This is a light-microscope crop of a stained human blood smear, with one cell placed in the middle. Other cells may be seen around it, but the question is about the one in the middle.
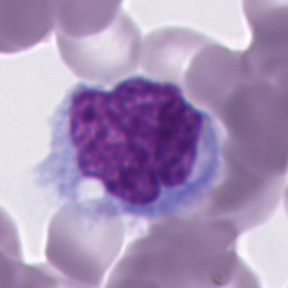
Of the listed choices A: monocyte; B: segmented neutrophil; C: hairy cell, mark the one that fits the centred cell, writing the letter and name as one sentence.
Since the middle cell is a monocyte, option A is the right one.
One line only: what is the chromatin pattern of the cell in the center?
Take a look at the chromatin, which is coarsely clumped.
